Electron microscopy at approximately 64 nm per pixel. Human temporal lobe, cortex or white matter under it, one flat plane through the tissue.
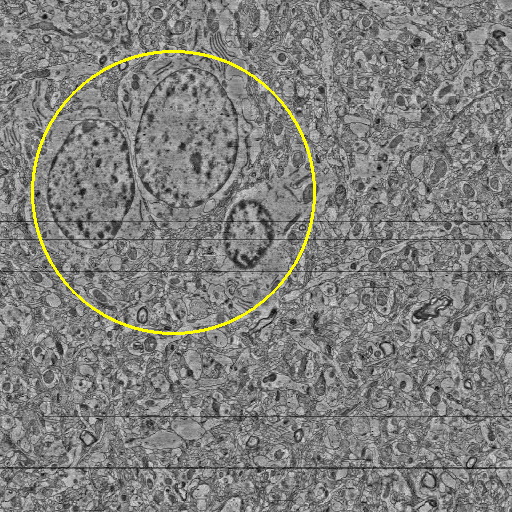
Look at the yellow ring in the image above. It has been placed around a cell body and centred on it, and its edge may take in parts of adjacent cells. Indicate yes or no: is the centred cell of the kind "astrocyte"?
yes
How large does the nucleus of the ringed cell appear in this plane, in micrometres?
In this plane the nucleus is about 9 micrometres by 7.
